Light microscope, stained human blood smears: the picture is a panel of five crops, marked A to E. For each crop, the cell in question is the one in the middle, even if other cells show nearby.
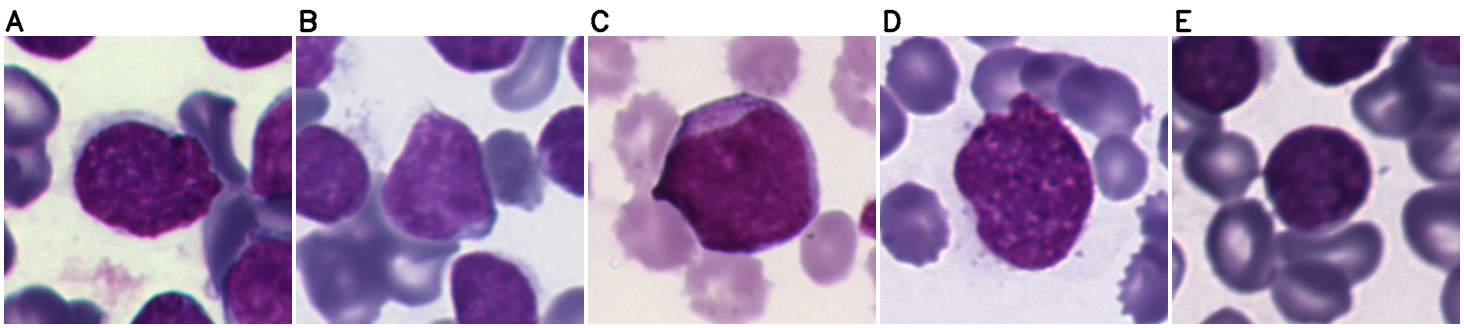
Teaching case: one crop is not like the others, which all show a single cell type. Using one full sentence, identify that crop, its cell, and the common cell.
Unlike the other crops, all showing myeloblasts, crop D is a smudge cell.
